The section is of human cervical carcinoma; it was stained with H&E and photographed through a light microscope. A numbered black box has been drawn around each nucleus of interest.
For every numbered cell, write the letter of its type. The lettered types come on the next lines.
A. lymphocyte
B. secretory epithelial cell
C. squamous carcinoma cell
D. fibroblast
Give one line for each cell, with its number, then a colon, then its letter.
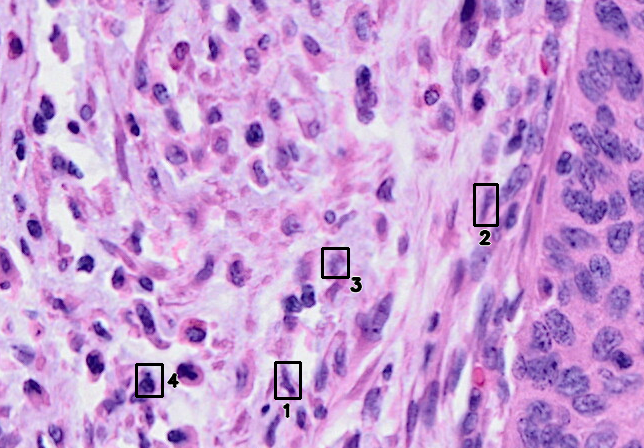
1: D
2: D
3: D
4: A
